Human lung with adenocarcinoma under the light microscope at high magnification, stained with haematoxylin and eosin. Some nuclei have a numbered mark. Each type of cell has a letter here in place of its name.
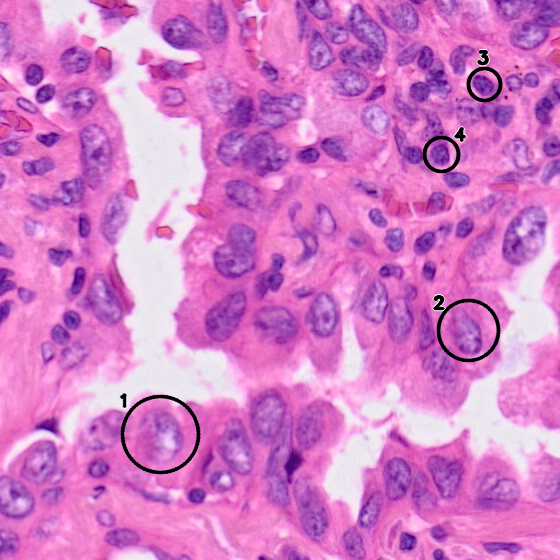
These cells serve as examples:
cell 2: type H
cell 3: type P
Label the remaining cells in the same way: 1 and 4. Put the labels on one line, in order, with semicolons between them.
type H; type P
